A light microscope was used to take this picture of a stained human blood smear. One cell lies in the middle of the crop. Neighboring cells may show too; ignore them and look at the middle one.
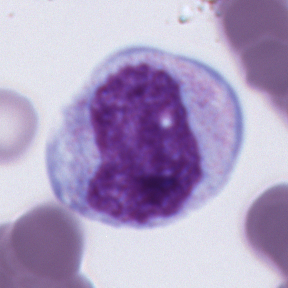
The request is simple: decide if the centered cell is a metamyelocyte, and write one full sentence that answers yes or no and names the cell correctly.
Yes, what sits in the centre of the crop is a metamyelocyte.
